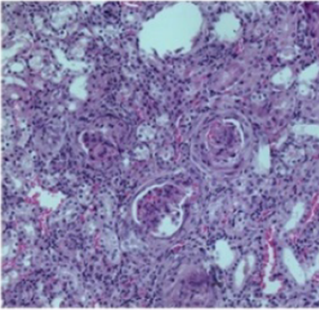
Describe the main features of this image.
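This kidney cortex shows heavy inflammation. A few glomeruli stand out as rounded tufts inside pale Bowman's spaces; they are crowded with nuclei and surrounded by concentric layers of cells. Between them, the interstitium is packed with small, dark, round nuclei of infiltrating inflammatory cells, pushing the tubules apart. Many tubules are dilated, with wide empty pale lumina and thin pink walls, while others are small and compressed. Scattered red blood cells lie in small vessels and spaces. The normal orderly pattern of closely packed pink tubules is largely lost.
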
